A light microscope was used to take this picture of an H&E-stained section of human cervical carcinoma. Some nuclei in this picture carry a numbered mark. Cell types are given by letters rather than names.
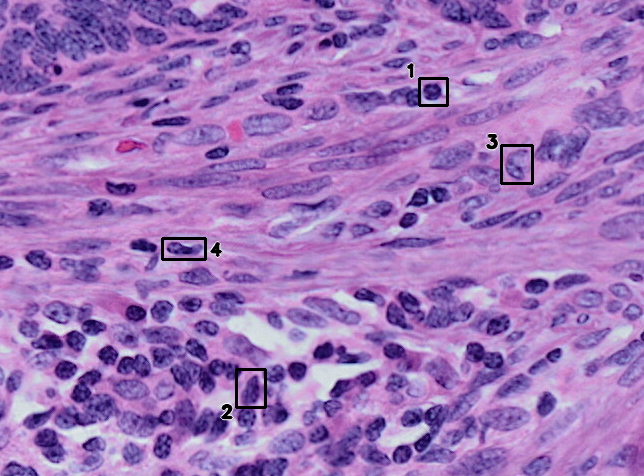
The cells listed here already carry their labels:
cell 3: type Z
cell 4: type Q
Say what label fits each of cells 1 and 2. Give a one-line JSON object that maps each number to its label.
{"1": "type Q", "2": "type Q"}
